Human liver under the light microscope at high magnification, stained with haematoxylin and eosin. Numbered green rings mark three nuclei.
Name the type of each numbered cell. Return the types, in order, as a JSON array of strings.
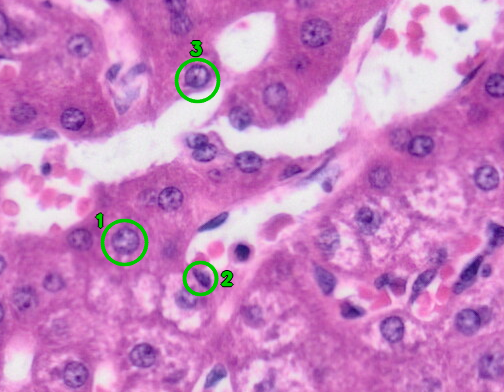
["hepatocyte", "fibroblast or stellate cell", "hepatocyte"]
